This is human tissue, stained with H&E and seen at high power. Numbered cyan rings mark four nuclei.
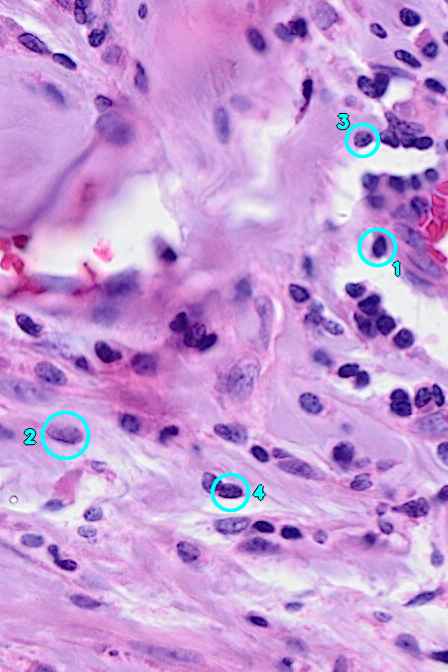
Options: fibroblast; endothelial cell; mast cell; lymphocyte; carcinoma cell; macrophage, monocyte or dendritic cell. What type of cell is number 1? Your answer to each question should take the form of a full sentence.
Cell 1 should be recorded as a lymphocyte.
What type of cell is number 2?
The cell marked with number 2 is a fibroblast.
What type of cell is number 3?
The marked cell bearing number 3 is a lymphocyte.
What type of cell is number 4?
Number 4 among the marked cells is a lymphocyte.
